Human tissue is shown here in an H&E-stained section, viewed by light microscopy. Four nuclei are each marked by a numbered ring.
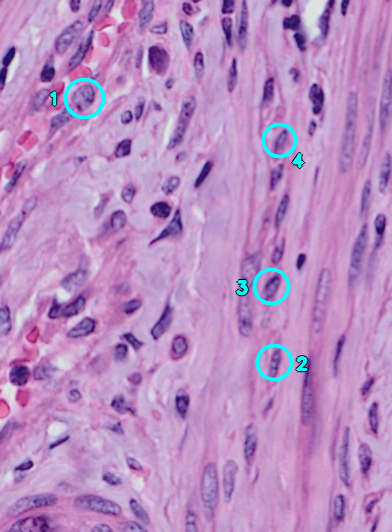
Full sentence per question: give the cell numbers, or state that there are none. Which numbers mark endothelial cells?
Among the numbered cells, an endothelial cell occurs only once, as cell 1.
